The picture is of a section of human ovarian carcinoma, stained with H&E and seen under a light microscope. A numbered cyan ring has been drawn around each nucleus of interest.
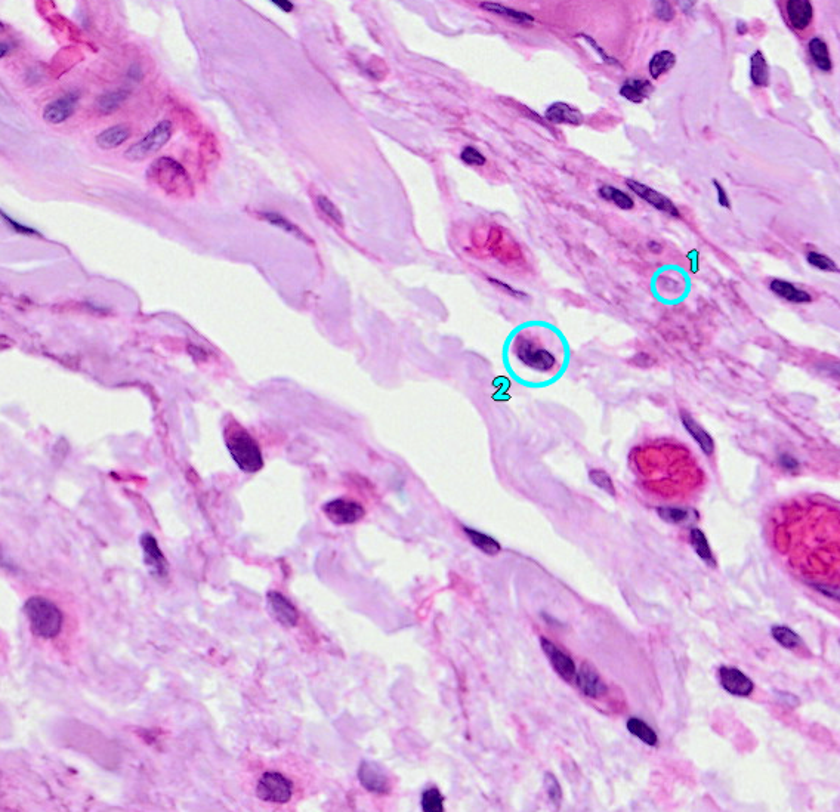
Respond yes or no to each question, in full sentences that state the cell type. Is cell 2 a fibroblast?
No, the cell tagged 2 is a macrophage or monocyte, not a fibroblast.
